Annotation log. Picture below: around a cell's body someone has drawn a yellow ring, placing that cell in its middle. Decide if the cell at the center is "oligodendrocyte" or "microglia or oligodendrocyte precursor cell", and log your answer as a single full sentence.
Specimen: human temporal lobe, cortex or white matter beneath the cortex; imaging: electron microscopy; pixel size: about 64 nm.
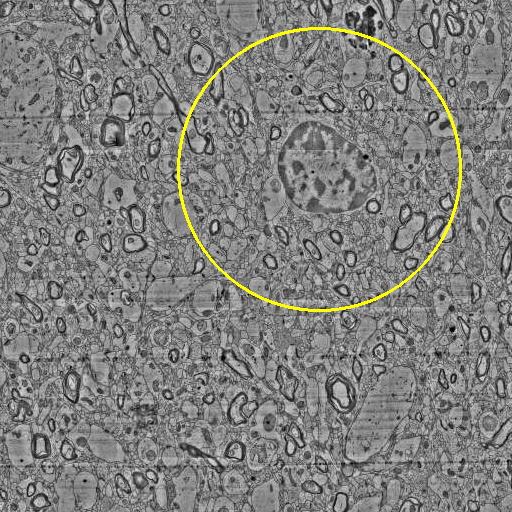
My entry records a microglial cell or oligodendrocyte precursor cell as the cell sitting at the center of the yellow ring.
